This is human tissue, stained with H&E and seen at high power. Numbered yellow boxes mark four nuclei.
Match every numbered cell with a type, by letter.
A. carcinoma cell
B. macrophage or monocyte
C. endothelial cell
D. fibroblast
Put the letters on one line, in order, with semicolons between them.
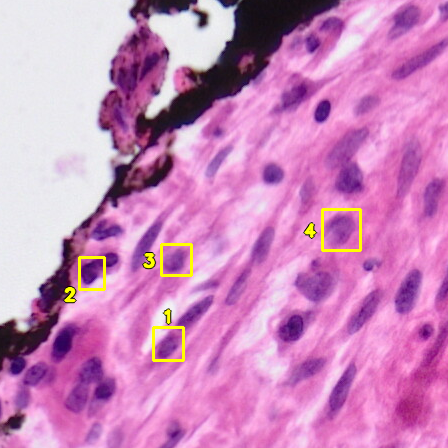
D; B; D; D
